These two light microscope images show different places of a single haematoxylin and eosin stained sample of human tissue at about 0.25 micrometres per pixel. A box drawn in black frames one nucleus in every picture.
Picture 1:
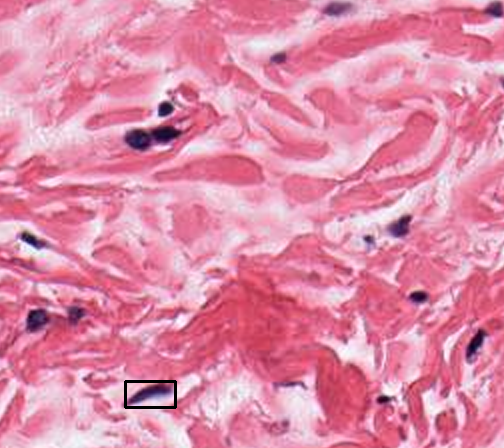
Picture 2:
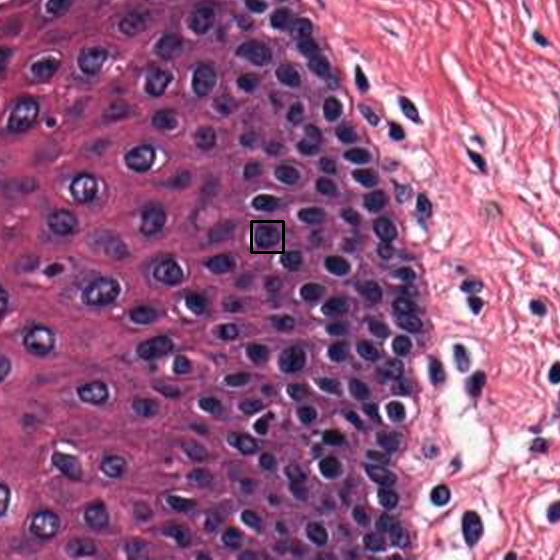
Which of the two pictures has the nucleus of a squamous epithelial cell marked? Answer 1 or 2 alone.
2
